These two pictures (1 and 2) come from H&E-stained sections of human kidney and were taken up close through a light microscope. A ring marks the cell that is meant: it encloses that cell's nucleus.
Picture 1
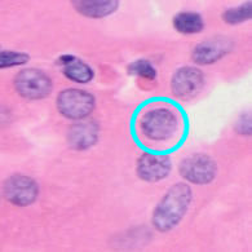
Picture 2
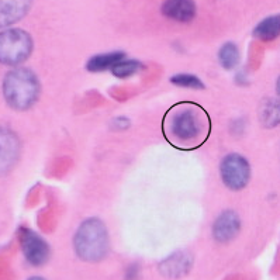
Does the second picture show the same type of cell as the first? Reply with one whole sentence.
No. Picture 1 shows a collecting duct cell, but picture 2 shows a “loop of Henle or distal tubule cell”.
